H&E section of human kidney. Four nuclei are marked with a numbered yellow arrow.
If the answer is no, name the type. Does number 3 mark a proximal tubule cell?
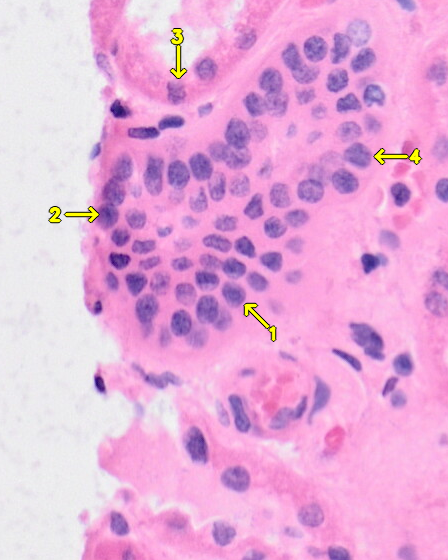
Yes.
